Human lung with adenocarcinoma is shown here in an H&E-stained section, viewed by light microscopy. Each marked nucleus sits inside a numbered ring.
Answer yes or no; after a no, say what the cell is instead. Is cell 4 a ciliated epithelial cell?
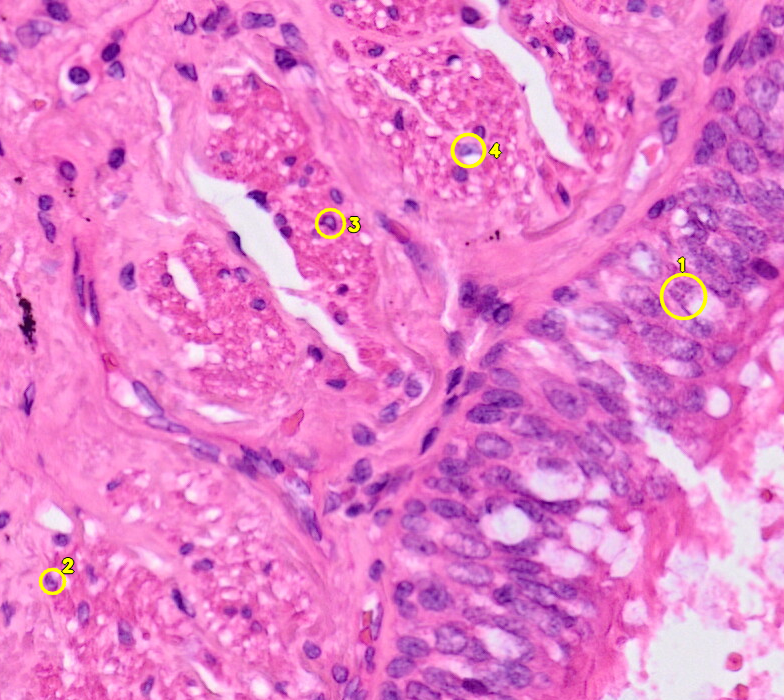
No, it is a smooth muscle cell or pericyte.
